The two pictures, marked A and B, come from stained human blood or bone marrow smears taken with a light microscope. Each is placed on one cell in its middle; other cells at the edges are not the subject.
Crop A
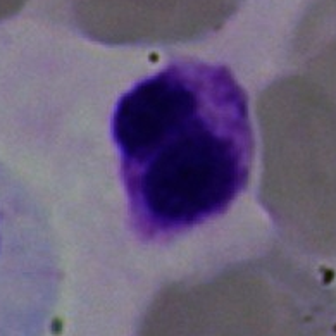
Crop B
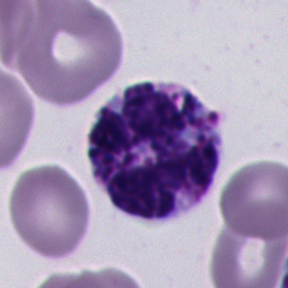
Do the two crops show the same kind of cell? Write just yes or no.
yes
